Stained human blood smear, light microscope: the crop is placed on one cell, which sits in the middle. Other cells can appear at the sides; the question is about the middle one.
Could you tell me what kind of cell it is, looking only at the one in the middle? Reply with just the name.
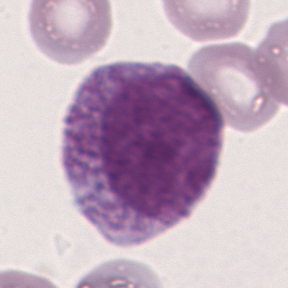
promyelocyte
